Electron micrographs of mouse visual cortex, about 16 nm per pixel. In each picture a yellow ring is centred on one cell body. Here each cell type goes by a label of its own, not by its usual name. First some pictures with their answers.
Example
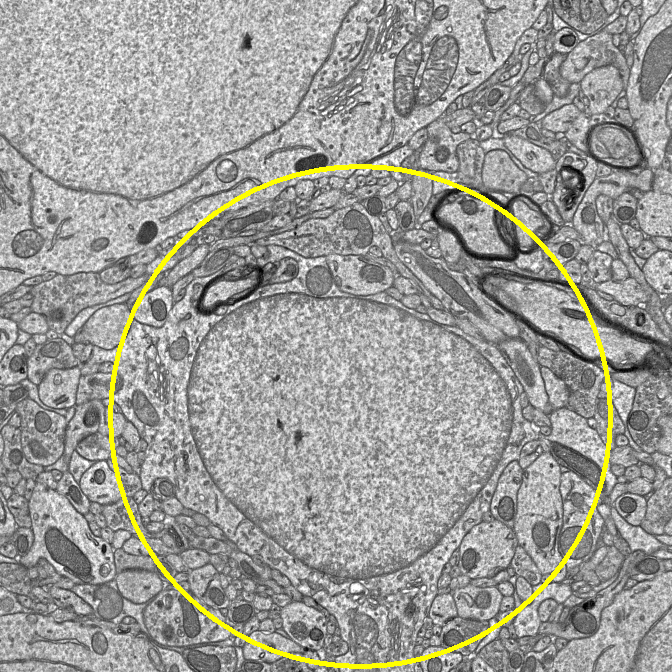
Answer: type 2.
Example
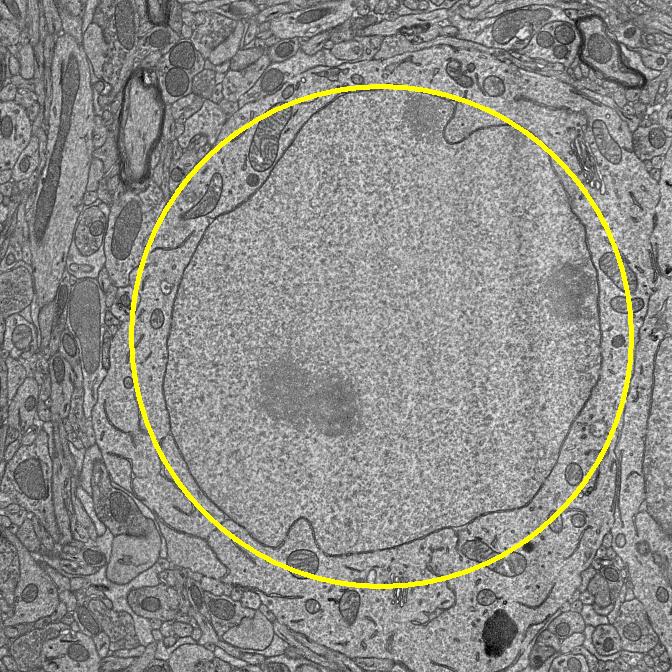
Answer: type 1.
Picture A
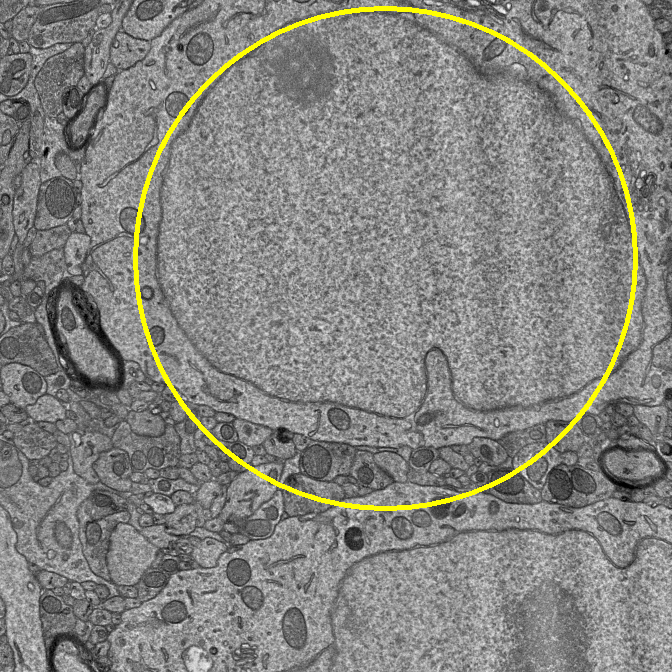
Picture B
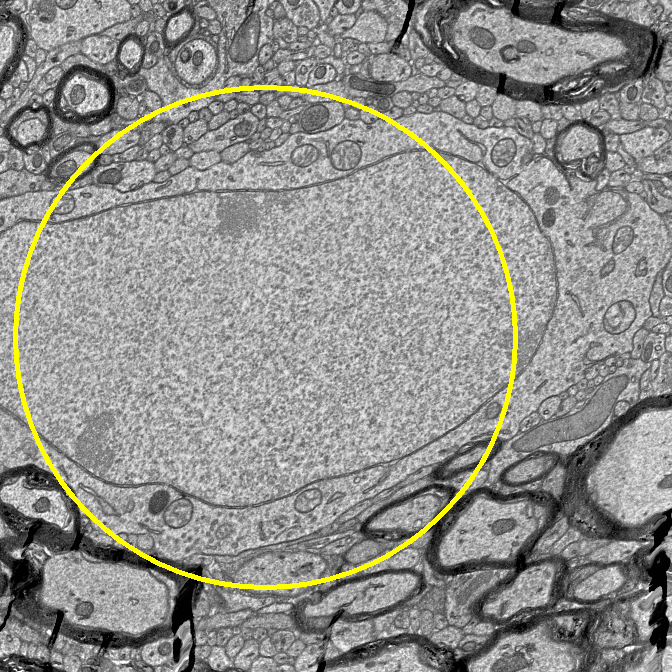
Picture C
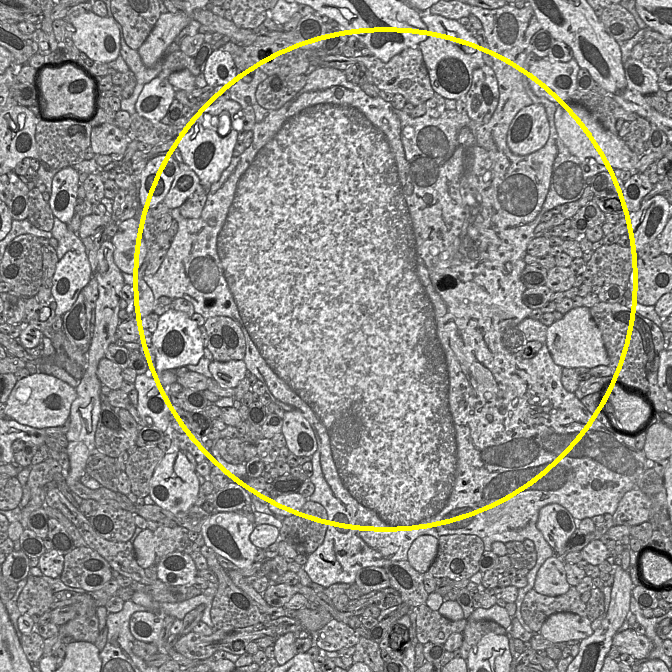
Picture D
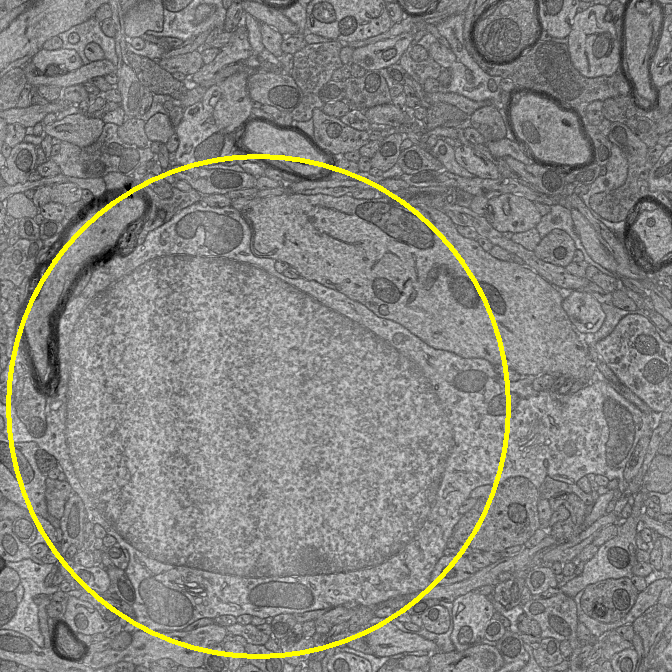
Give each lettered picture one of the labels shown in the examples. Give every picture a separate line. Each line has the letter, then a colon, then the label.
A: type 1.
B: type 1.
C: type 2.
D: type 2.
